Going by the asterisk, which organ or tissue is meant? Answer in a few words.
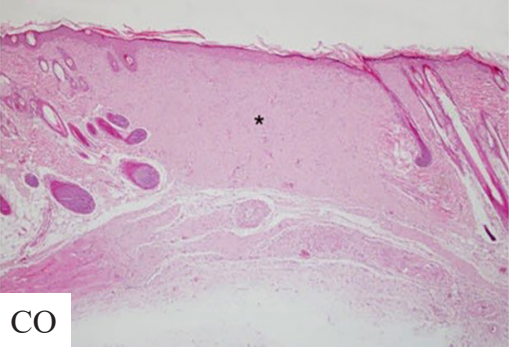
Dermis.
